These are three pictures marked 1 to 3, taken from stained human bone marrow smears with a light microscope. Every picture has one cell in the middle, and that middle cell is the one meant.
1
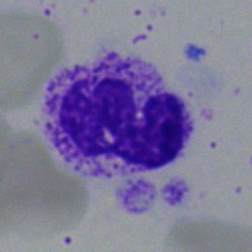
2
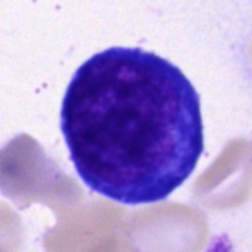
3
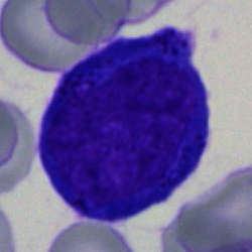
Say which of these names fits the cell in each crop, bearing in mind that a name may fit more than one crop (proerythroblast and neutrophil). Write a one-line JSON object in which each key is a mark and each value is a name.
{"1": "neutrophil", "2": "proerythroblast", "3": "proerythroblast"}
